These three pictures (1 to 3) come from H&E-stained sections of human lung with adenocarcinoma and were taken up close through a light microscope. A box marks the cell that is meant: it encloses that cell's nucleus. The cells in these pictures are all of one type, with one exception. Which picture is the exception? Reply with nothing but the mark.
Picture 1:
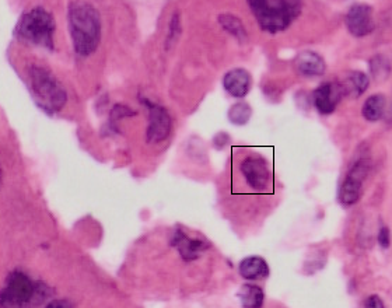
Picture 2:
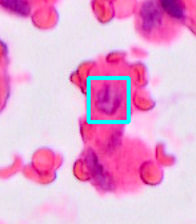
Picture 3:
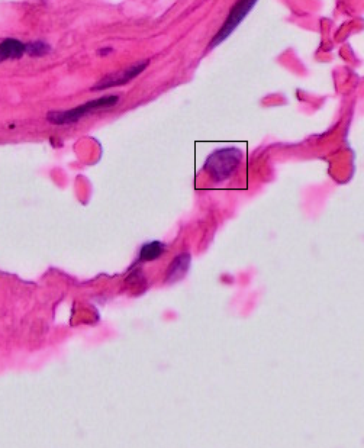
3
